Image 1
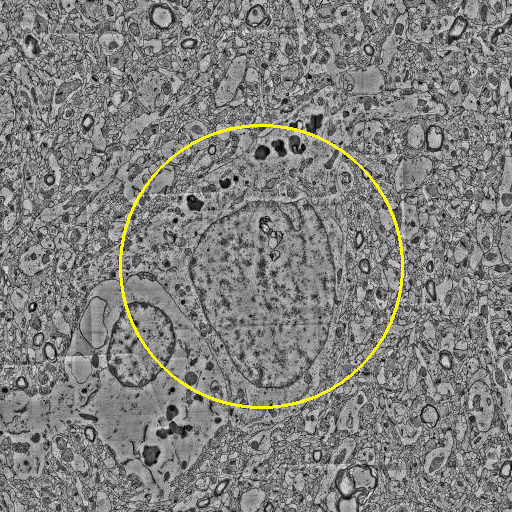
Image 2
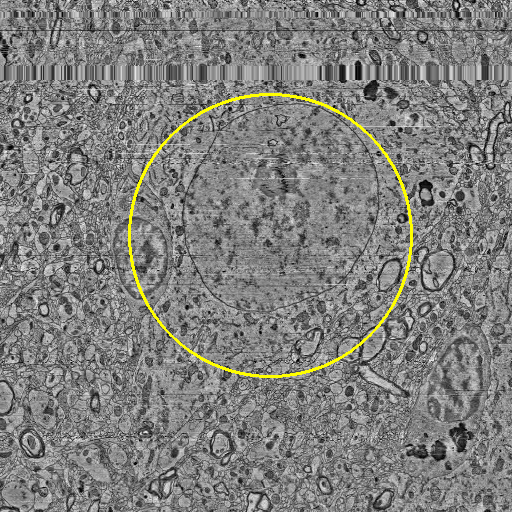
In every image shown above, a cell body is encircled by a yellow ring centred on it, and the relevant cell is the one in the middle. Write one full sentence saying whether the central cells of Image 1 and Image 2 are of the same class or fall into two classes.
The cell at the ring's centre in Image 1 and its counterpart in Image 2 fall into two classes.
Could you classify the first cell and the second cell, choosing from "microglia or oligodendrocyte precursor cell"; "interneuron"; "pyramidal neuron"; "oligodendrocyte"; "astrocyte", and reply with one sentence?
The second cell is a pyramidal neuron, while the first is an interneuron.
